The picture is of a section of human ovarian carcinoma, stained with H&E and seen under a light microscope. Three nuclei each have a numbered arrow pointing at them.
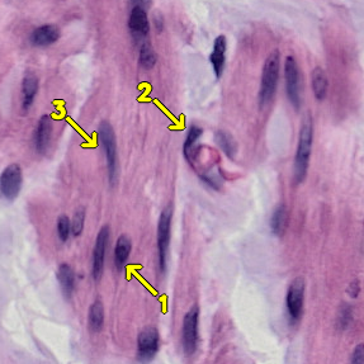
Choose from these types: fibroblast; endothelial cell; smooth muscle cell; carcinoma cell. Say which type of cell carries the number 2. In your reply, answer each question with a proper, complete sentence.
Cell number 2 in this section is an endothelial cell.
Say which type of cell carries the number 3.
The cell marked with the number 3 is a smooth muscle cell.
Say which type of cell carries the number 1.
The cell that carries the label 1 is a smooth muscle cell.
